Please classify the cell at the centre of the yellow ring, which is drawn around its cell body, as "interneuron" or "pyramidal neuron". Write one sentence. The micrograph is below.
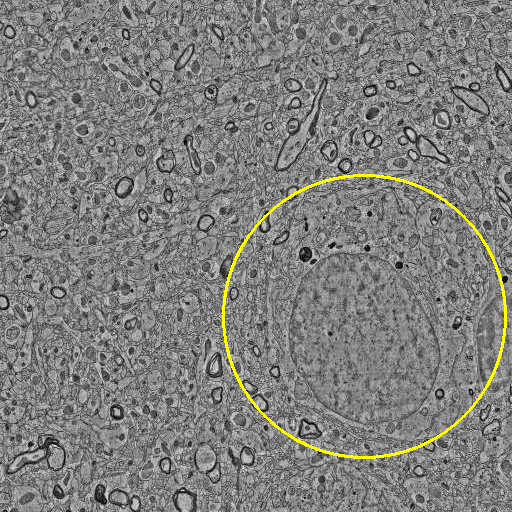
The cell at the ring's centre is classified as an interneuron.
